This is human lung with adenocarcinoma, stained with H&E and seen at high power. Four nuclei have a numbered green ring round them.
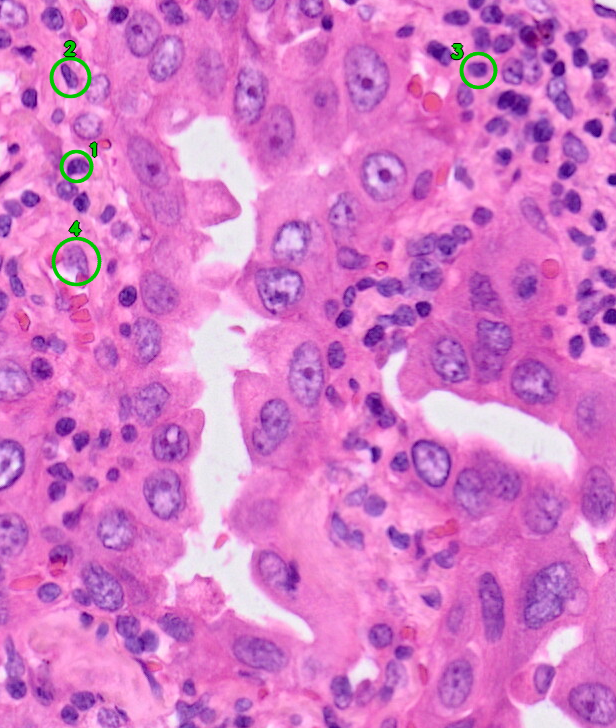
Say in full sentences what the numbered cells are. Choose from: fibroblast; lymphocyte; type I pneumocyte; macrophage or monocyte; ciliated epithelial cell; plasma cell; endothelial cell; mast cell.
Cells 1, 2 and 3 are lymphocytes. Cell 4 is an endothelial cell.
